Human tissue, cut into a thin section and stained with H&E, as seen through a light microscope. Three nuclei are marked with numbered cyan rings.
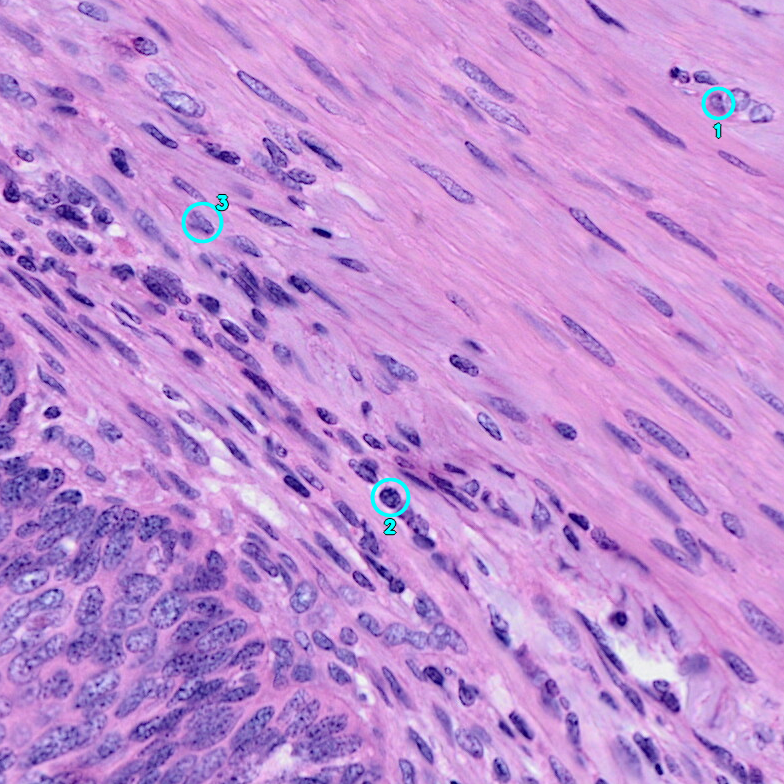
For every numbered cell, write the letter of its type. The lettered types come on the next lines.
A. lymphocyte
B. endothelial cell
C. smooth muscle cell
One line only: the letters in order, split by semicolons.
B; A; C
